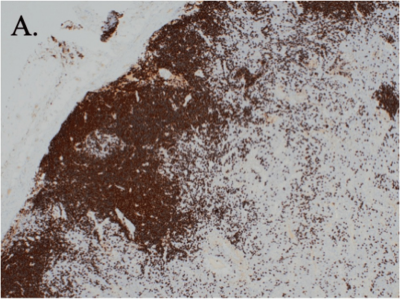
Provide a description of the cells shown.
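This low-power view shows a lymph node with its thin fibrous capsule and surrounding loose tissue at the upper left. A broad band of densely packed cells stained dark brown lies just beneath the capsule along the periphery of the node. Deeper toward the lower right, the tissue is much paler, with only scattered brown cells set among unstained cells. Small pale, branching spaces, likely vessels, run through both zones. Individual cell outlines are not resolved at this magnification, so the pattern is read from the distribution of the brown stain.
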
